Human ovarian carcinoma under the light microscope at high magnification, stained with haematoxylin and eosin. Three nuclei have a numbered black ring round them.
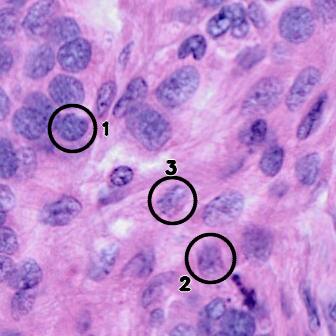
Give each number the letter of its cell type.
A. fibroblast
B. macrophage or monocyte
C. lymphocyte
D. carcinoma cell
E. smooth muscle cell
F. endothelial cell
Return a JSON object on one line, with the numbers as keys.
{"1": "D", "2": "A", "3": "A"}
